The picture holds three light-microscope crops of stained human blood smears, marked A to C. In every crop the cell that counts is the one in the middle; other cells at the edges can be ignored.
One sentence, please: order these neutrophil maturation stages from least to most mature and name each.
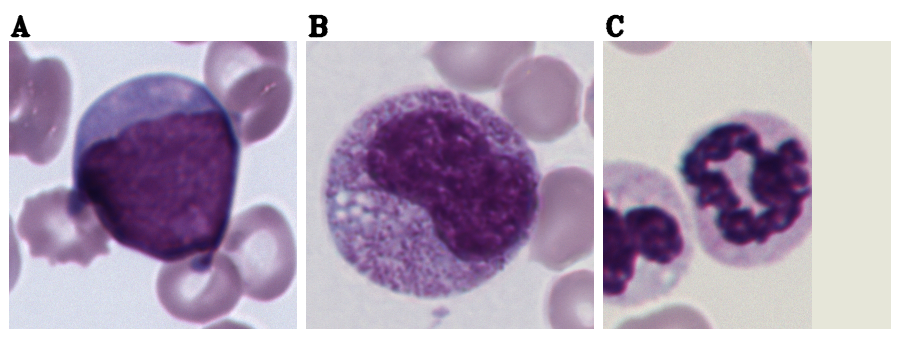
The ordering by maturity, least to greatest, is crop A (a myeloblast), crop B (a myelocyte) and crop C (a segmented neutrophil).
